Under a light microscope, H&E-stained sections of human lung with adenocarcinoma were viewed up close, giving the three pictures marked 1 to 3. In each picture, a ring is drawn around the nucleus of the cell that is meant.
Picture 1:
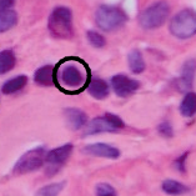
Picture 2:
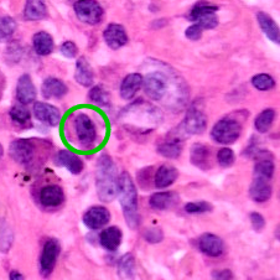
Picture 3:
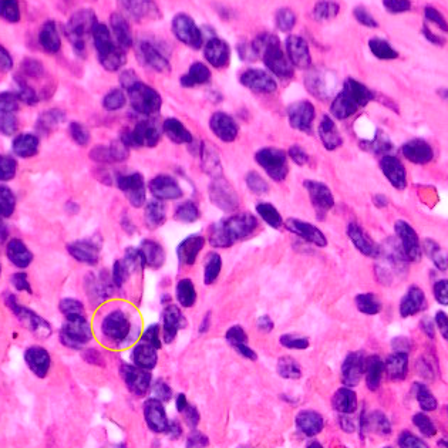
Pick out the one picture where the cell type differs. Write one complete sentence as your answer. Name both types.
Picture 2 is the odd one out: it shows a plasma cell, while the others show lymphocytes.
